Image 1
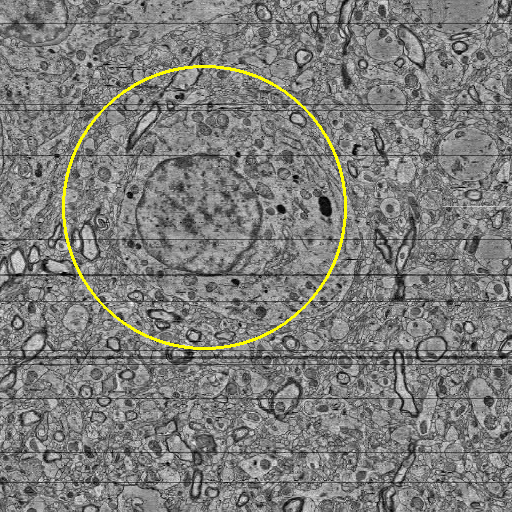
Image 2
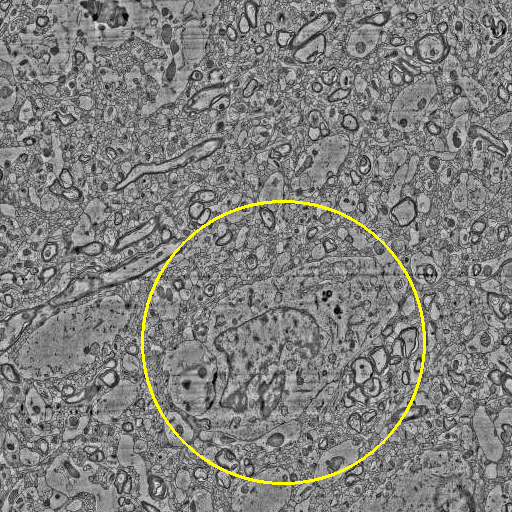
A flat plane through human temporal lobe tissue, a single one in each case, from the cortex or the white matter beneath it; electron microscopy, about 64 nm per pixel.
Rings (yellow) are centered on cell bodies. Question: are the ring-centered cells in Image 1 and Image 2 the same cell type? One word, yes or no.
yes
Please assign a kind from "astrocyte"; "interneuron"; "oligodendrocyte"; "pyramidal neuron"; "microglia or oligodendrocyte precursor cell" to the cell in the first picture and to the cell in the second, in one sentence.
Each of the two rings surrounds an interneuron.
